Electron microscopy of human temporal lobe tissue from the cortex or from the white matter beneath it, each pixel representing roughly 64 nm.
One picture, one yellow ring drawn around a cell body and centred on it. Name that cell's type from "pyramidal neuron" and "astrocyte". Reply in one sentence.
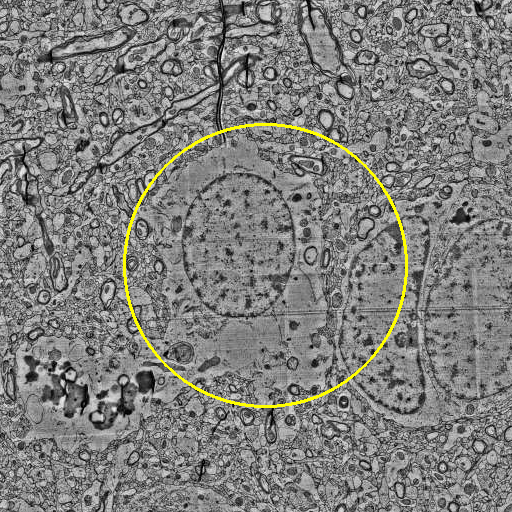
Centred in the ring is an astrocyte.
